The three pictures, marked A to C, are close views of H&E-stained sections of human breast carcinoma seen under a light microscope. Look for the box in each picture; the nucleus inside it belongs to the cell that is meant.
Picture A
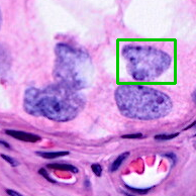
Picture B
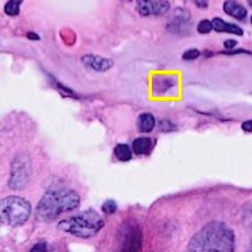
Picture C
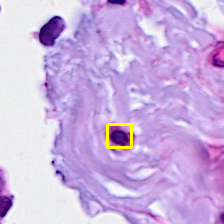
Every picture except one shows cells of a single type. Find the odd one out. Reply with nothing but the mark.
A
